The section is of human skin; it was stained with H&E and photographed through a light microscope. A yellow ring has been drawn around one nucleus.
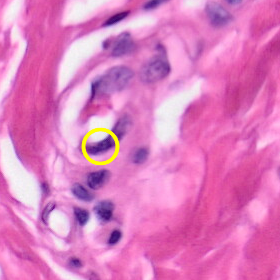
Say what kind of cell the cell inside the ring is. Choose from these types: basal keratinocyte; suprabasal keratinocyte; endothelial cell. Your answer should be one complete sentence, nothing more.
Students should answer that the cell inside the ring is an endothelial cell.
